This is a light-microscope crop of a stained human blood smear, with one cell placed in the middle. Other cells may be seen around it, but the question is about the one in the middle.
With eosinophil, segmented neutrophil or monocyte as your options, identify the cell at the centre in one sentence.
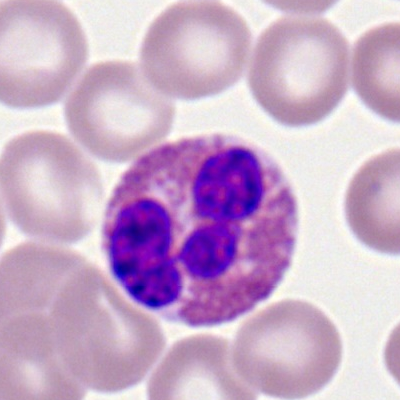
Here the cell in the middle is an eosinophil.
